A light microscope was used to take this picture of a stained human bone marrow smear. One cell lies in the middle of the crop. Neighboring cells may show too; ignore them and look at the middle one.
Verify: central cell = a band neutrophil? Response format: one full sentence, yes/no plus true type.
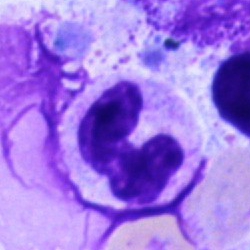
No, what the centre of the crop shows is a segmented neutrophil, not a band neutrophil.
